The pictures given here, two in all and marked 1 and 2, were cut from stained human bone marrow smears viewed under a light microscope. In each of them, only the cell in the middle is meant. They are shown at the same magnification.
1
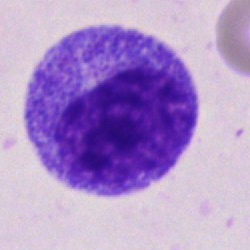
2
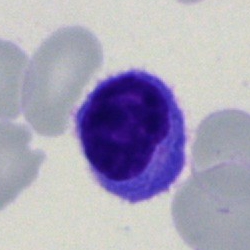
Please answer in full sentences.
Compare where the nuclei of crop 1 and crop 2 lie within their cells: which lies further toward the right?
The nucleus in crop 1 lies further toward the right of its cell.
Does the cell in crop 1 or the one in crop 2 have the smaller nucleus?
It is the nucleus in crop 2; the one in crop 1 has about 1.5 times its area.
